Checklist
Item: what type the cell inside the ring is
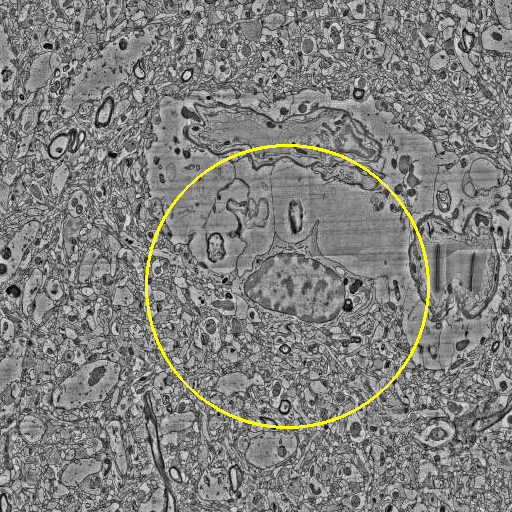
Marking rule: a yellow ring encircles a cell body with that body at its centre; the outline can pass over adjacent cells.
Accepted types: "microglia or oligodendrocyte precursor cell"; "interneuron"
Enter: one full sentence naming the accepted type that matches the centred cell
The entry is that a microglial cell or oligodendrocyte precursor cell lies at the centre of the yellow ring.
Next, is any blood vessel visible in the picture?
Yes, there is one.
